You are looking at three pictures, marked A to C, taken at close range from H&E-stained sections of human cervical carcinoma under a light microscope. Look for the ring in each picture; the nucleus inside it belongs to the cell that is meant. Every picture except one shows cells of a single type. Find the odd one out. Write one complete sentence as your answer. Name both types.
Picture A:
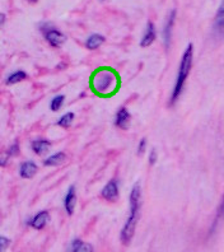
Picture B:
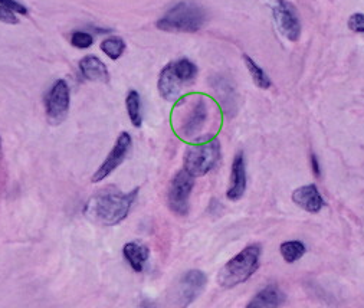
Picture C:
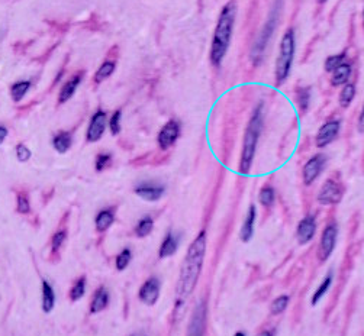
Picture B is the odd one out: it shows an endothelial cell, while the others show smooth muscle cells.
